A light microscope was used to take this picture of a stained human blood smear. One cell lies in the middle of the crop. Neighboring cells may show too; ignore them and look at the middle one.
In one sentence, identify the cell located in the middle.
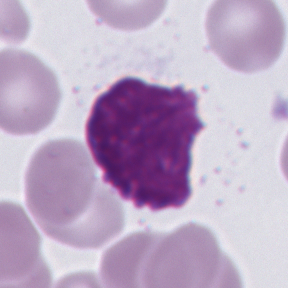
In the middle of this smear crop is a smudge cell.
